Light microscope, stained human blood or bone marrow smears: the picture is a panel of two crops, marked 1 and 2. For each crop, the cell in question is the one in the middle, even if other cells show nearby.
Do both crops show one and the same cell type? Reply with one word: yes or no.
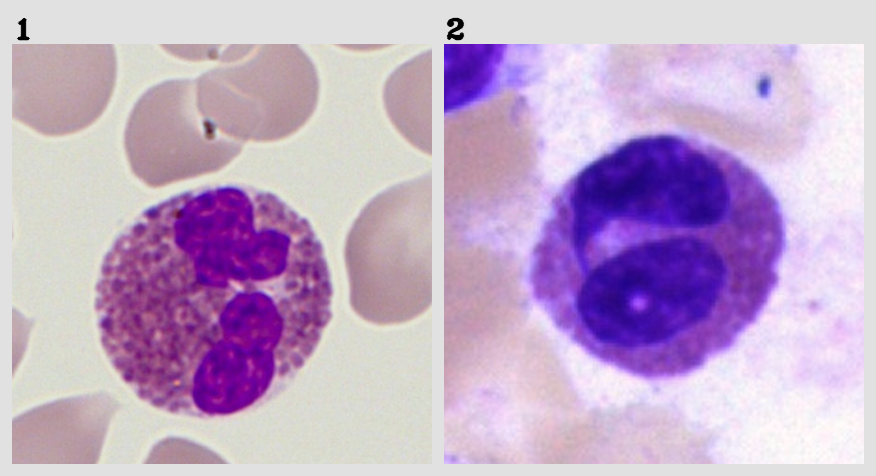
yes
